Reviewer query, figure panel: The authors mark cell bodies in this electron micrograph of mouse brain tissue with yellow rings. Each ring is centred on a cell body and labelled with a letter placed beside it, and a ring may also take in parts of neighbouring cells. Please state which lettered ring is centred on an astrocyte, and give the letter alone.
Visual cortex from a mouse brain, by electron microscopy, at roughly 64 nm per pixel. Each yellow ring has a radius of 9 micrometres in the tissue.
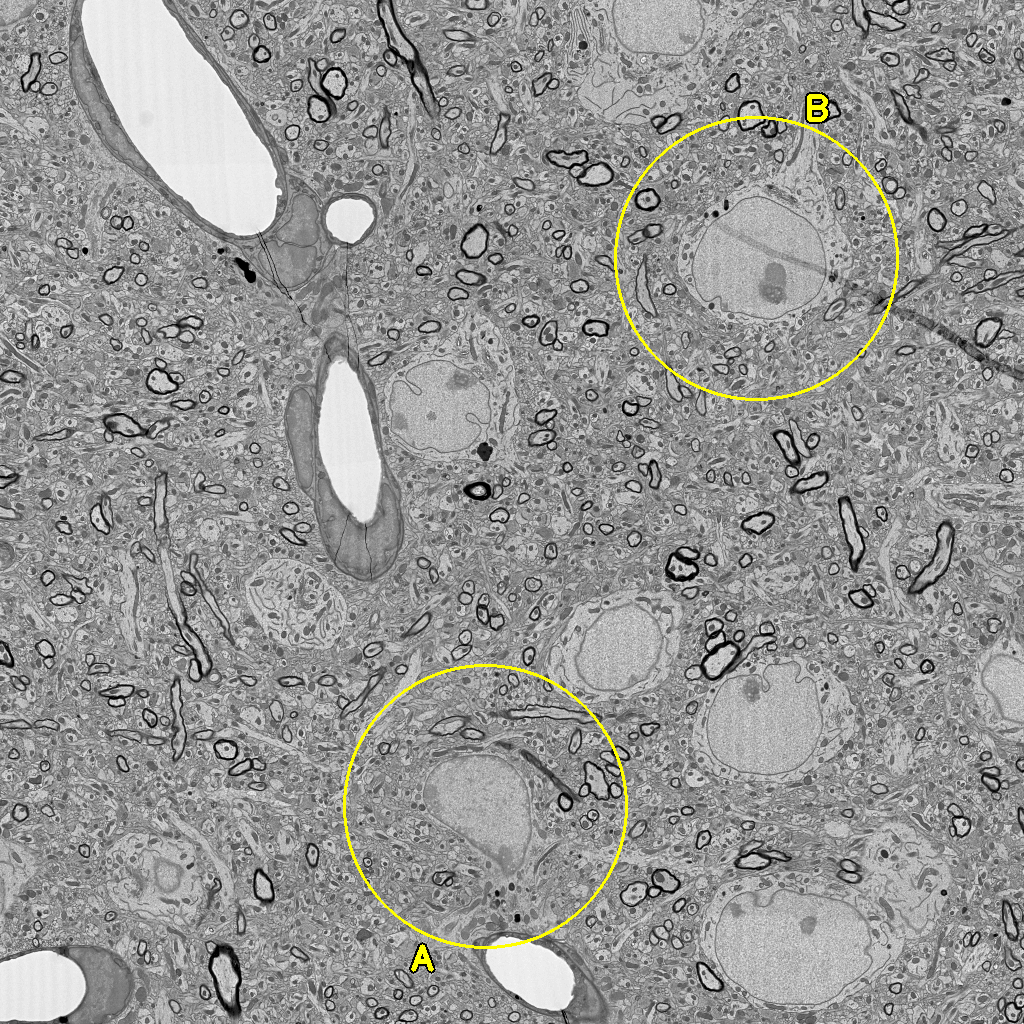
A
